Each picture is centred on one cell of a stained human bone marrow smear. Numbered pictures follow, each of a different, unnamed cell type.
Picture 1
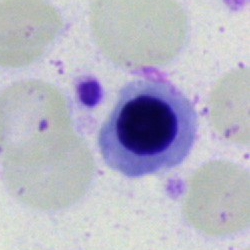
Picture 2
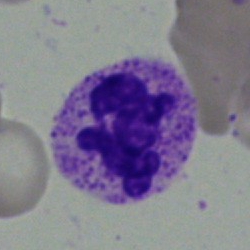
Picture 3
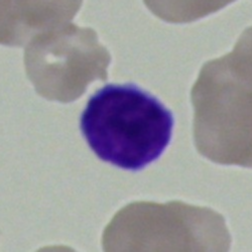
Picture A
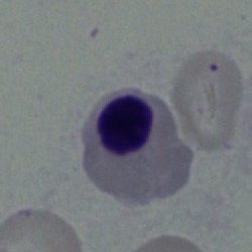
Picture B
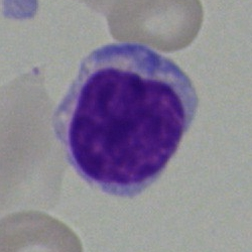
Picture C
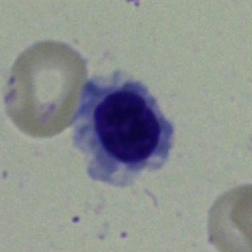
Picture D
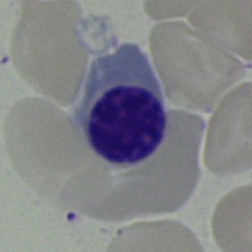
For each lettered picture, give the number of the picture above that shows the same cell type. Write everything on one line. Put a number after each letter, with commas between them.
A 1, B 3, C 1, D 1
